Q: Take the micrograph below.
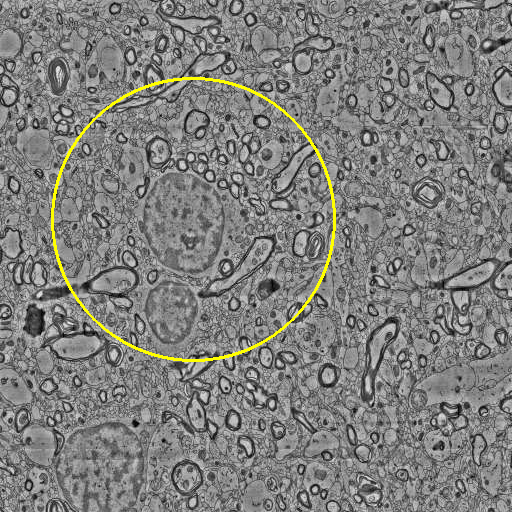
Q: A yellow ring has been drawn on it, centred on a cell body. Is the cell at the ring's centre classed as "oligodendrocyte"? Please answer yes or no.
Yes, that is its kind.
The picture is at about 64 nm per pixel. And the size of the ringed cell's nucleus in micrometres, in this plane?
About 7 by 5 micrometres in this plane.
